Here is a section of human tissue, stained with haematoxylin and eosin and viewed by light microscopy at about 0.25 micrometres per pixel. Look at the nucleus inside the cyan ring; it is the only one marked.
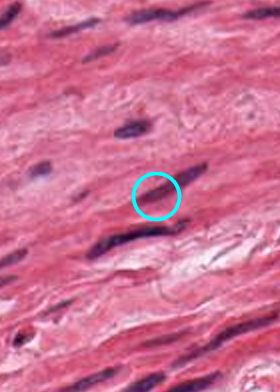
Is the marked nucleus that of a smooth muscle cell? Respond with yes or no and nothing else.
yes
